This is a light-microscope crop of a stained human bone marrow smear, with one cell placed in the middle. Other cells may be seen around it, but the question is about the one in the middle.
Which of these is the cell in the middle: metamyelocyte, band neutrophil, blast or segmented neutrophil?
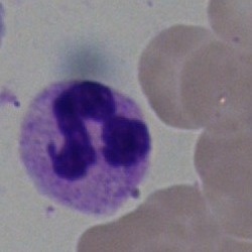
segmented neutrophil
